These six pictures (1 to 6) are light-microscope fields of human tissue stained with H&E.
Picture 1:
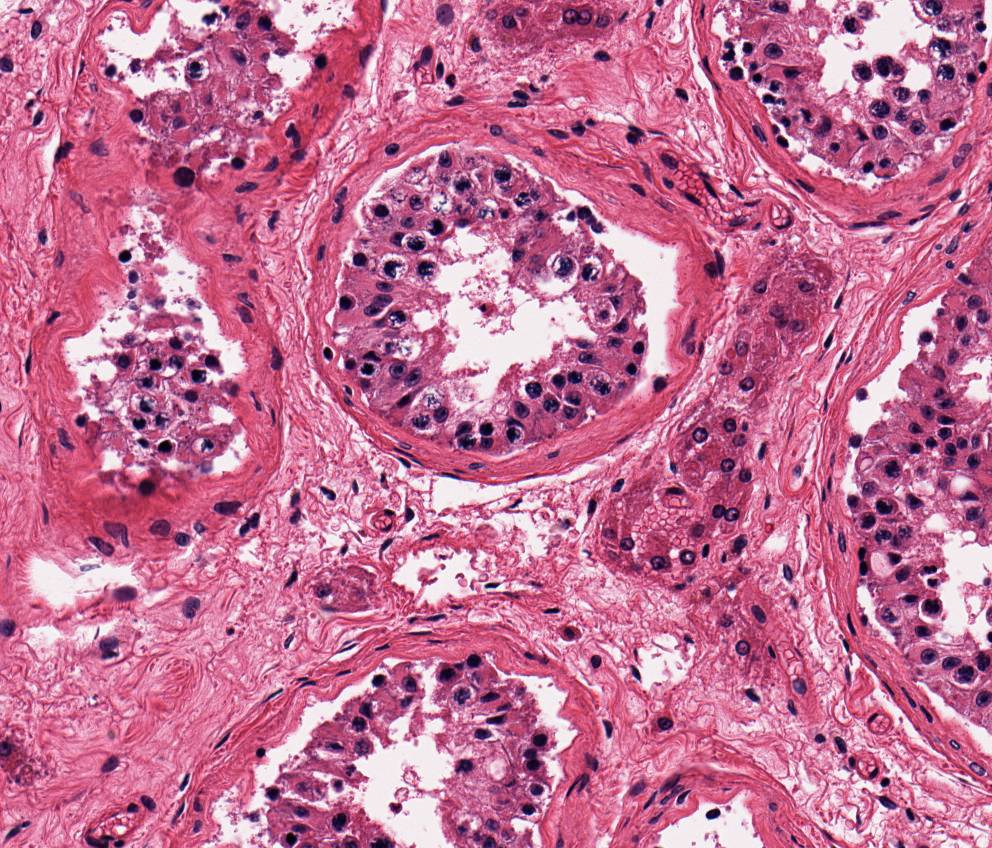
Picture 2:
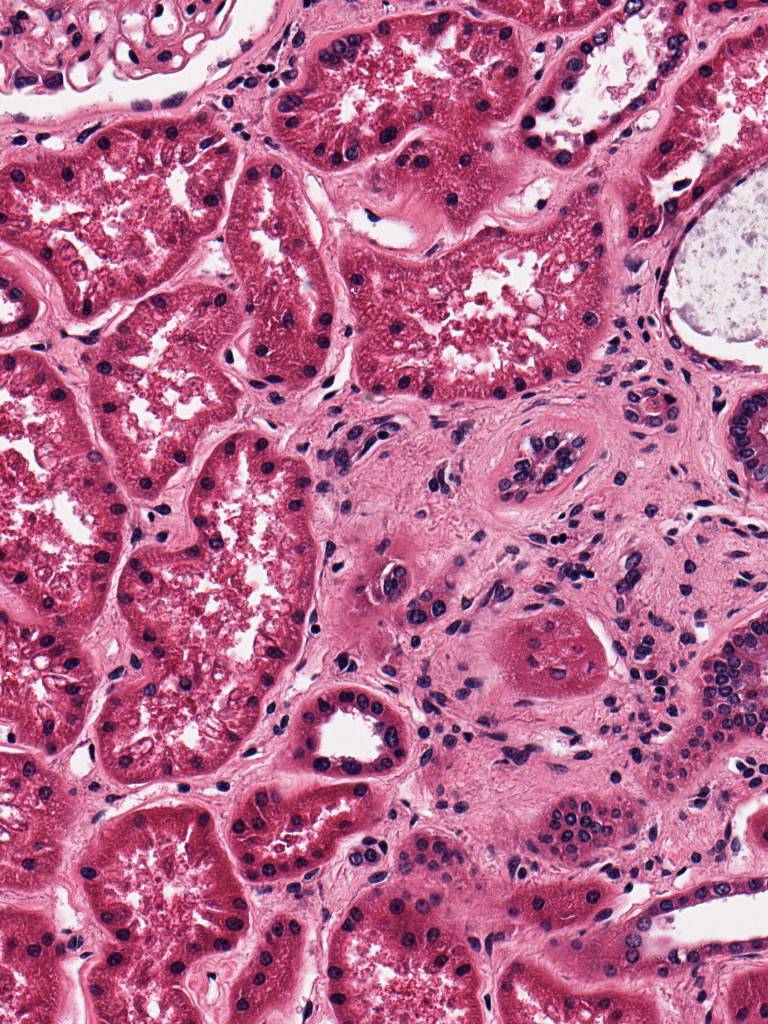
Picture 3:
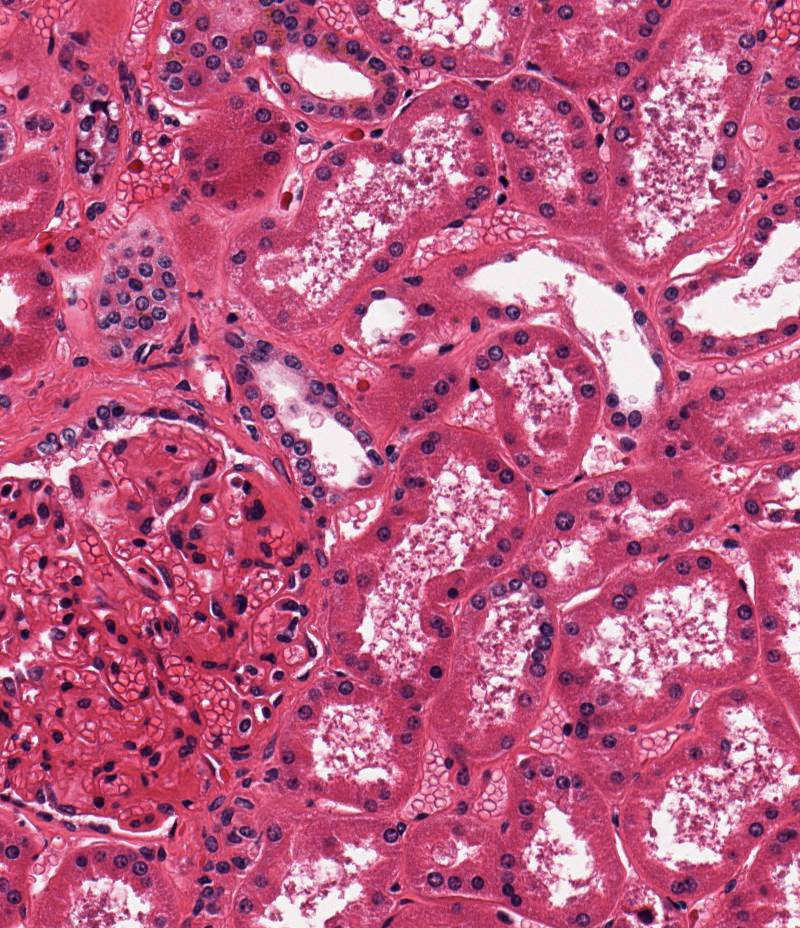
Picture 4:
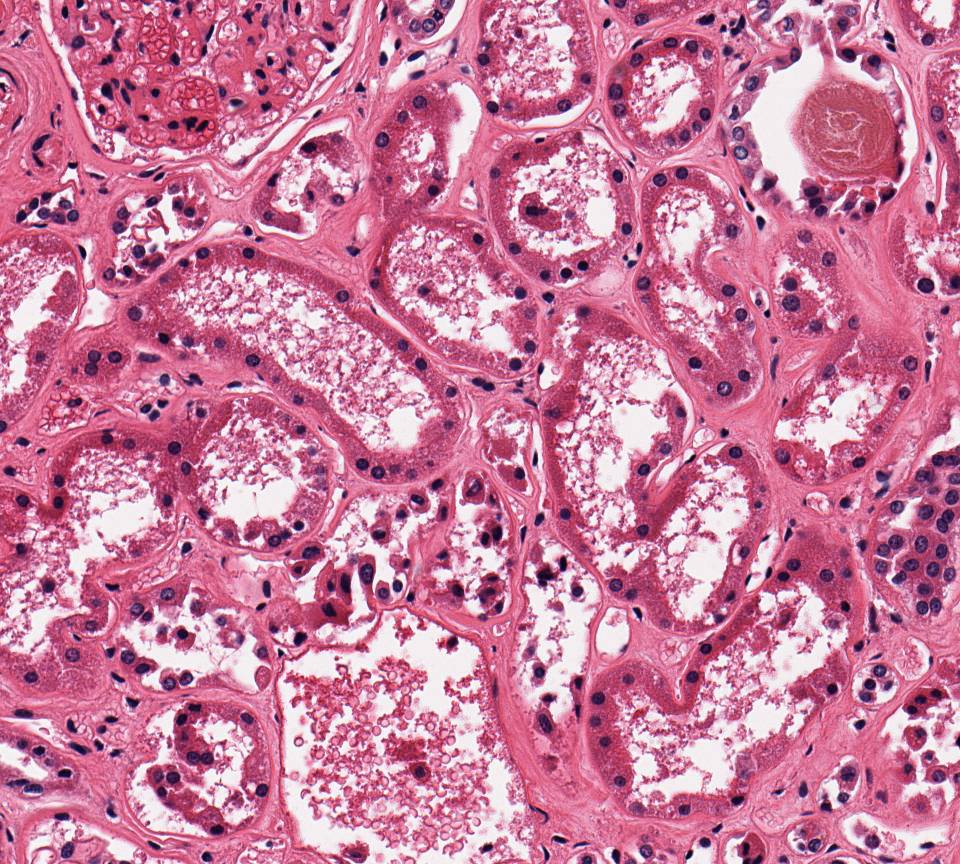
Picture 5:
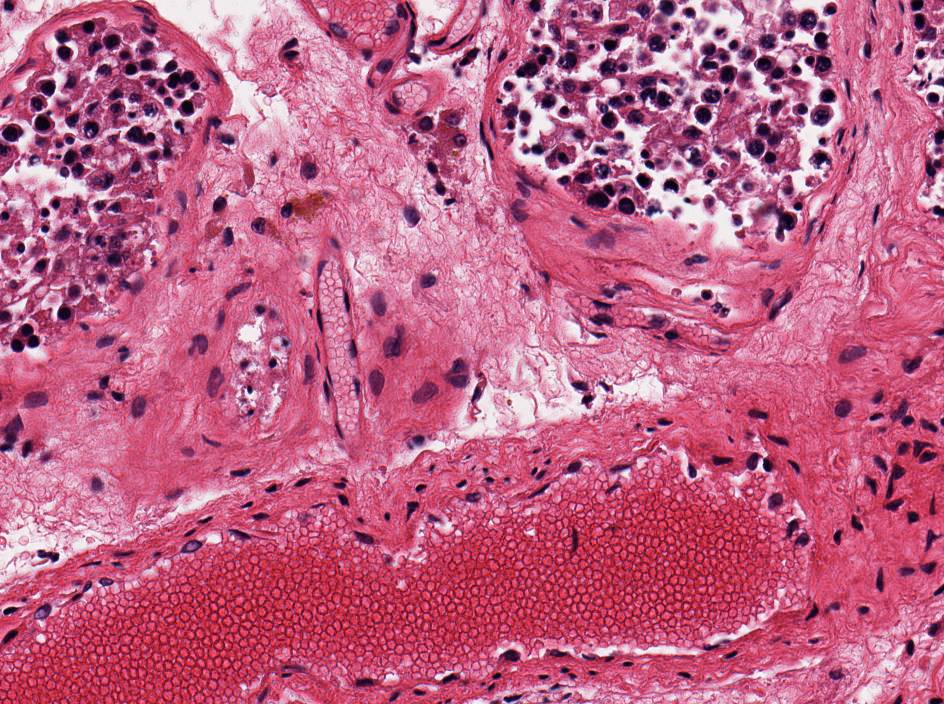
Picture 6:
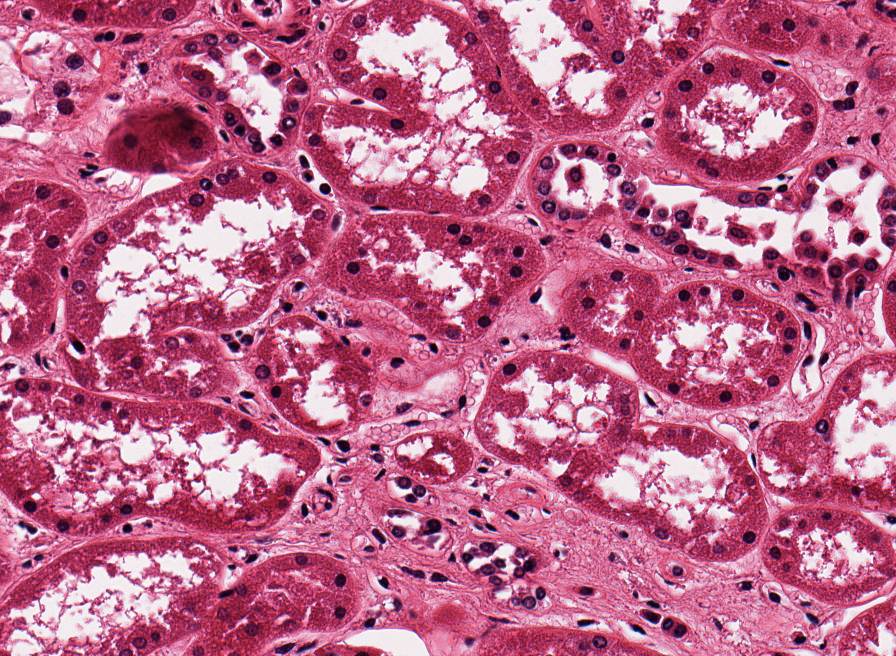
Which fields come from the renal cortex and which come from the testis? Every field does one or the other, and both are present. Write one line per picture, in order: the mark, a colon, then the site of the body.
1: testis
2: renal cortex
3: renal cortex
4: renal cortex
5: testis
6: renal cortex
